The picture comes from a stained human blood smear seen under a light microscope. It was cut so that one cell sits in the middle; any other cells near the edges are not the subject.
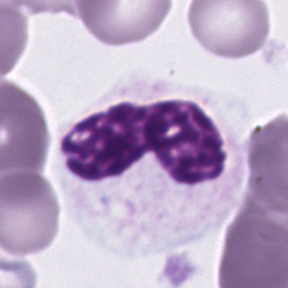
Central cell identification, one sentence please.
The target cell in the middle of the crop is a band neutrophil.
